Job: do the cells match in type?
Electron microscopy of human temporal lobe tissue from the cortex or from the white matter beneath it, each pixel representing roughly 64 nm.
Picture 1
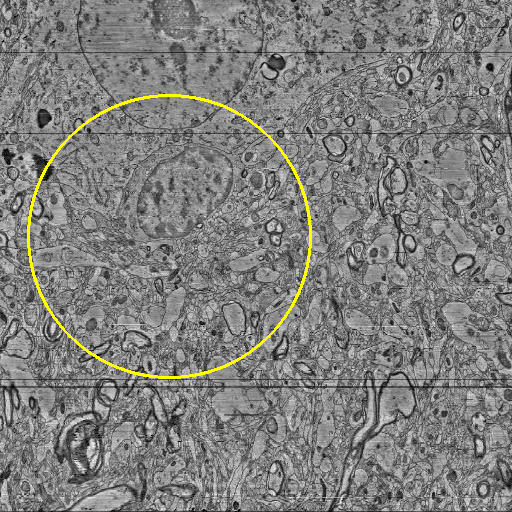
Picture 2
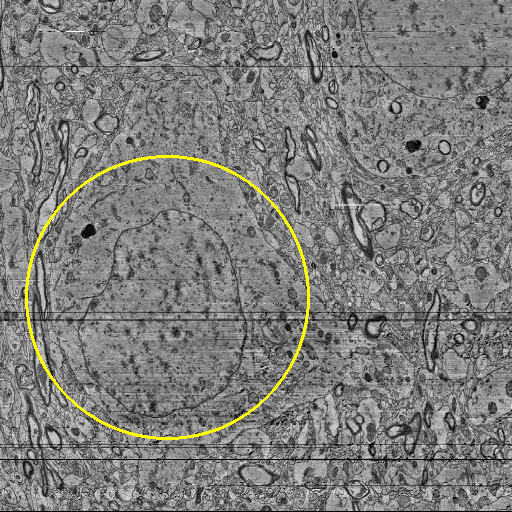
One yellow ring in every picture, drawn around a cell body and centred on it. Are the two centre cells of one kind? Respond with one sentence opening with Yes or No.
No, the ringed cells in the two pictures are of two separate kinds.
